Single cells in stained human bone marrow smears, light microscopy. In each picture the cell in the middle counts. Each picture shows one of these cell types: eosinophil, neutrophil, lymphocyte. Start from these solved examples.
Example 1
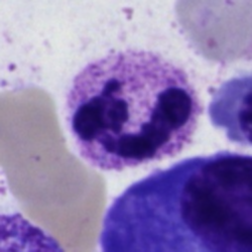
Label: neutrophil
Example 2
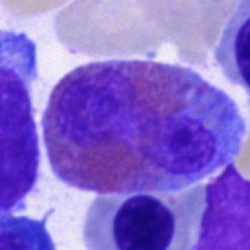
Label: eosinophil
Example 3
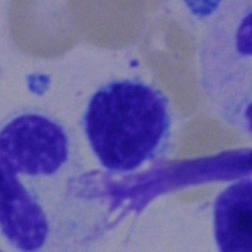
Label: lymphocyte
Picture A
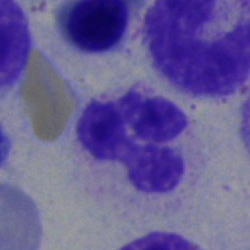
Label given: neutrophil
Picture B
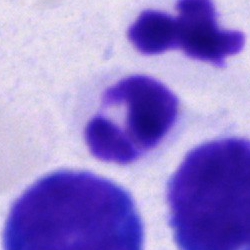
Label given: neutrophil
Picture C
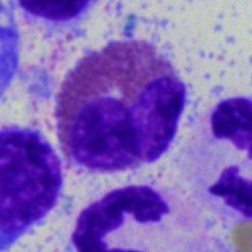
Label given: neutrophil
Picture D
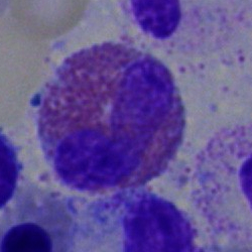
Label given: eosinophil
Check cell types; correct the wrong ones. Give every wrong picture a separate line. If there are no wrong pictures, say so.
C is labelled neutrophil; correct label: eosinophil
